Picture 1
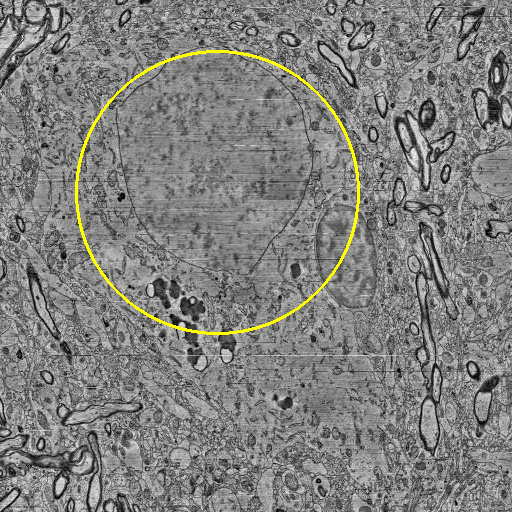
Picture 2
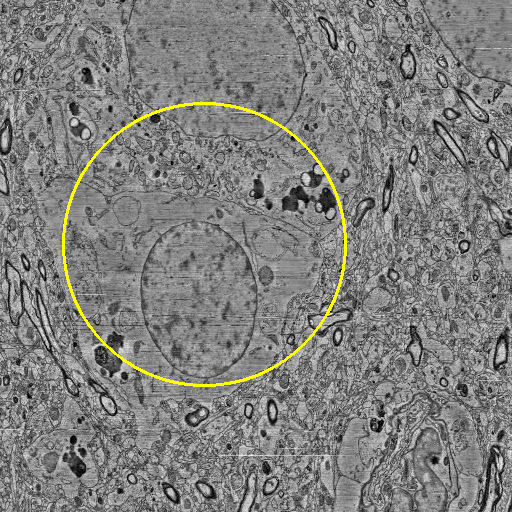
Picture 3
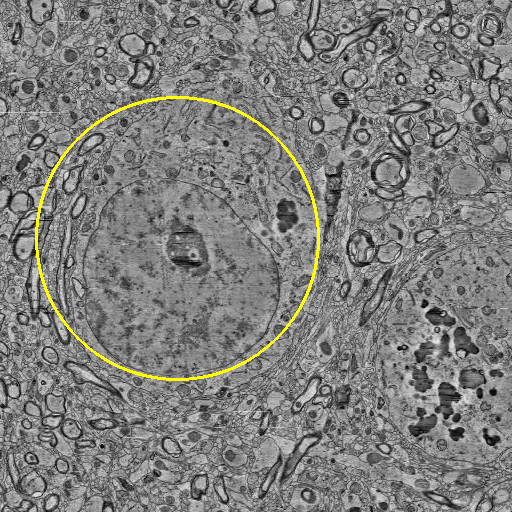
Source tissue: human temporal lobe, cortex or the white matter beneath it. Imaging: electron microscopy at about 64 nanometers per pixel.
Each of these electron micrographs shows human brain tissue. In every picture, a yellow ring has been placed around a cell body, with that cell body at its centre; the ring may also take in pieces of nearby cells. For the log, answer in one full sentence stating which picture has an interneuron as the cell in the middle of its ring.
In picture 3, the cell at the centre of the yellow ring is the requested one.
